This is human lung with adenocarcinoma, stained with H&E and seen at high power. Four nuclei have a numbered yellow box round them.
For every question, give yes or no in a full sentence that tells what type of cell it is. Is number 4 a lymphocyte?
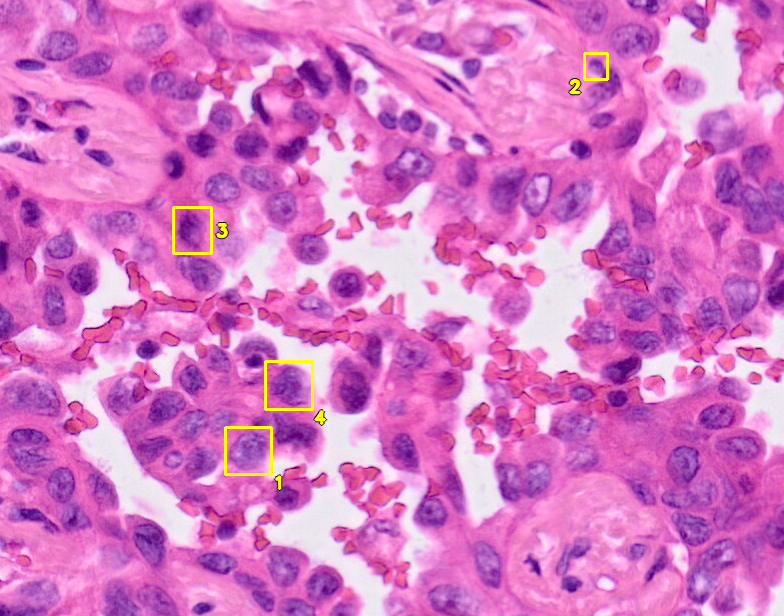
No, cell number 4 is a carcinoma cell; it is not a lymphocyte.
